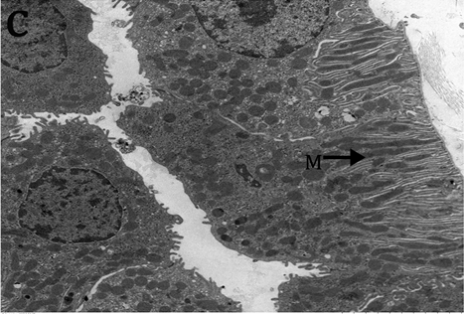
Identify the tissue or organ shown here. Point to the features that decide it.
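Renal tubules. Epithelial cells with large oval nuclei border a narrow pale lumen. Cytoplasm densely packed with many dark oval and elongated mitochondria. Long parallel arrays of elongated profiles along one cell surface.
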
